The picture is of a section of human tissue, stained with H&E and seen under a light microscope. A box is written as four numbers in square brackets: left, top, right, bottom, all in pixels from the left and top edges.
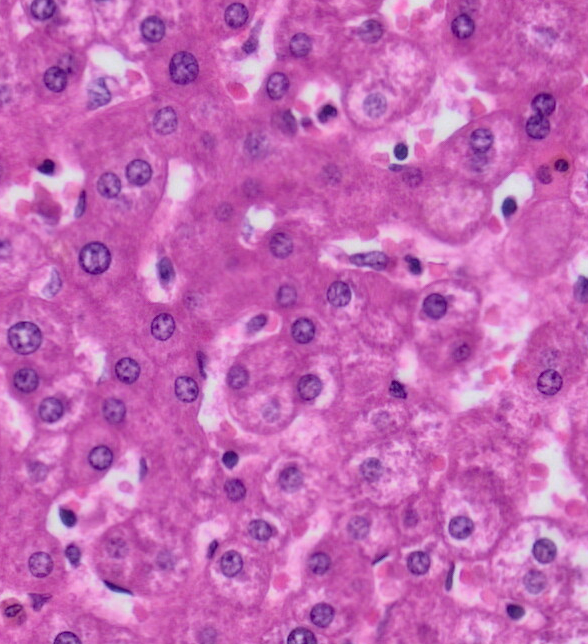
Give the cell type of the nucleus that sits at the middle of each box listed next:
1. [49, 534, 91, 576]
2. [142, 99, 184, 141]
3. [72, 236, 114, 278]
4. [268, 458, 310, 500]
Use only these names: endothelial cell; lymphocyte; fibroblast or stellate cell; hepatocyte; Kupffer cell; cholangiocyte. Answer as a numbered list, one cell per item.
1. lymphocyte
2. hepatocyte
3. hepatocyte
4. hepatocyte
